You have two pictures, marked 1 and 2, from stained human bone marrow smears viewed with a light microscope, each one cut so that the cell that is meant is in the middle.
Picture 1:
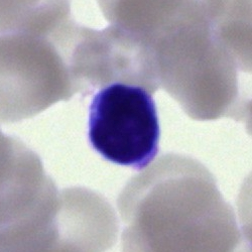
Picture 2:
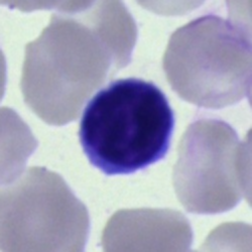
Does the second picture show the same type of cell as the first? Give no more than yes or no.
yes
